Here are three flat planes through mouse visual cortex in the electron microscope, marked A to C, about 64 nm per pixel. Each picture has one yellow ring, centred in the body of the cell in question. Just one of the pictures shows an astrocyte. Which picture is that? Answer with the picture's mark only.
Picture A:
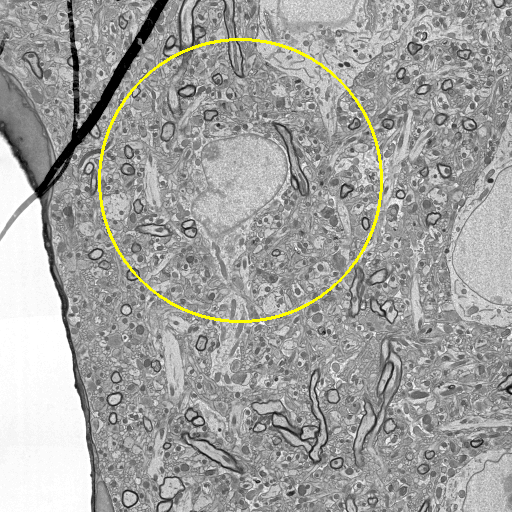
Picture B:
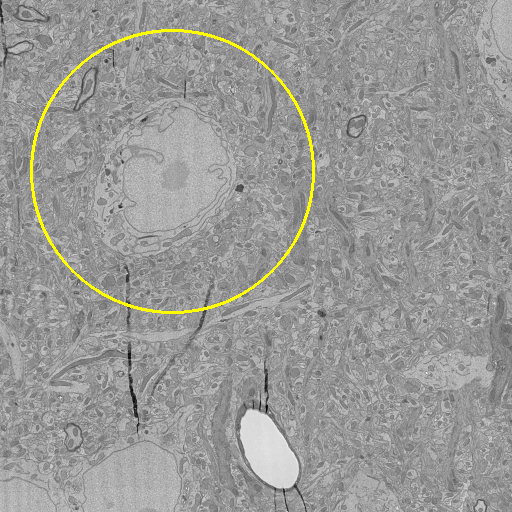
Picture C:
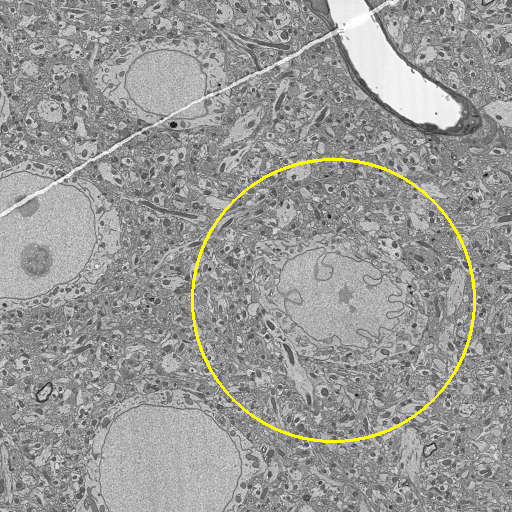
A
